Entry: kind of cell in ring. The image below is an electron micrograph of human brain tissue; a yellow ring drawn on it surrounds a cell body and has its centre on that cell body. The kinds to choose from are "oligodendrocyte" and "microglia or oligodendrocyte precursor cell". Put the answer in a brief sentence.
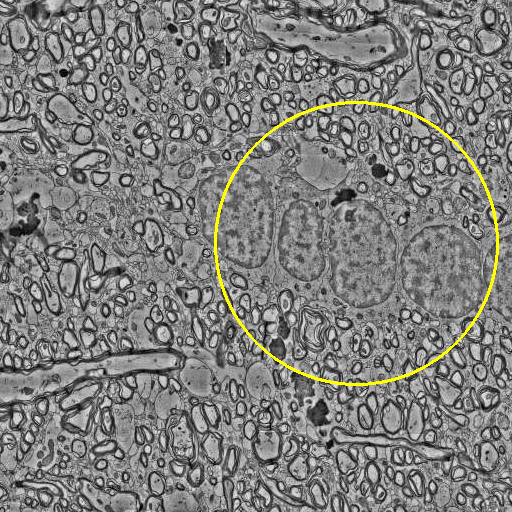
The ring has been drawn around an oligodendrocyte.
